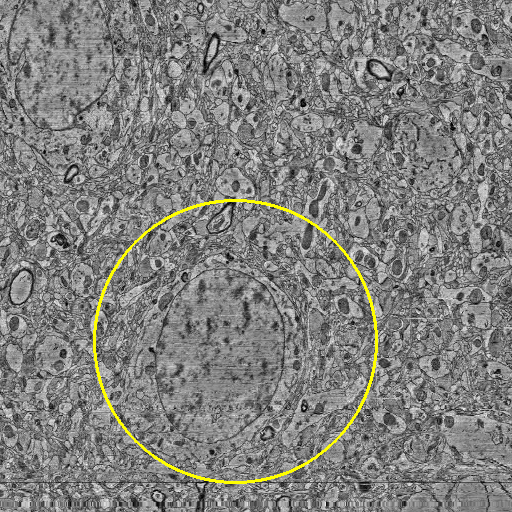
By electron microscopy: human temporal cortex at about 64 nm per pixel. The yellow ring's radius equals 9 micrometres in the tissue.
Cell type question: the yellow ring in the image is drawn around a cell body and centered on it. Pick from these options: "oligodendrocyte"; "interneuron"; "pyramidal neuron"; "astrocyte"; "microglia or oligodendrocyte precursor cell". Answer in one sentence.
The ringed cell at the center is a pyramidal neuron.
